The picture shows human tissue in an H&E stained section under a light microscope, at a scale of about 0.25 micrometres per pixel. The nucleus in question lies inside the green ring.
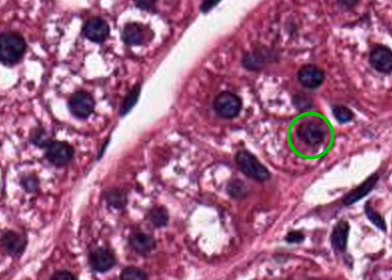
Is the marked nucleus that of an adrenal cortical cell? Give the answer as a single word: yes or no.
yes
